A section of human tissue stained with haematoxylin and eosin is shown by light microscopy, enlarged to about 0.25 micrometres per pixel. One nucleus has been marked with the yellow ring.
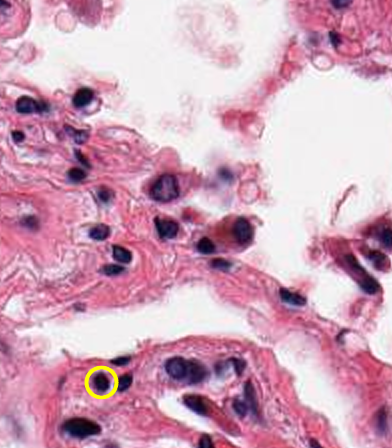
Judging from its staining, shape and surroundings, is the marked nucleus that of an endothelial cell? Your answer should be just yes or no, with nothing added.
no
